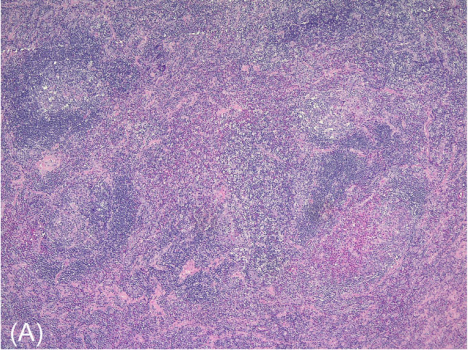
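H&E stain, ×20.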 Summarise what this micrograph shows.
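At low magnification this lymphoid tissue shows hyperplastic follicles. The tissue between the follicles is looser and more pink, containing scattered pink-red cells and numerous small vessels, giving the interfollicular areas a mottled appearance compared with the uniform dark blue of the mantle rims.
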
